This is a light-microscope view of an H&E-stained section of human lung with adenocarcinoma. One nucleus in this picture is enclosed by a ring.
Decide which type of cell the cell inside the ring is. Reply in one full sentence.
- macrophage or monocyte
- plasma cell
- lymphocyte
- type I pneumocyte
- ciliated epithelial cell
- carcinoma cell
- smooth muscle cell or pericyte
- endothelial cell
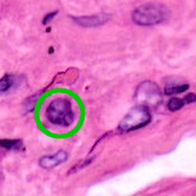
With respect to cell type, the cell inside the ring is a plasma cell.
